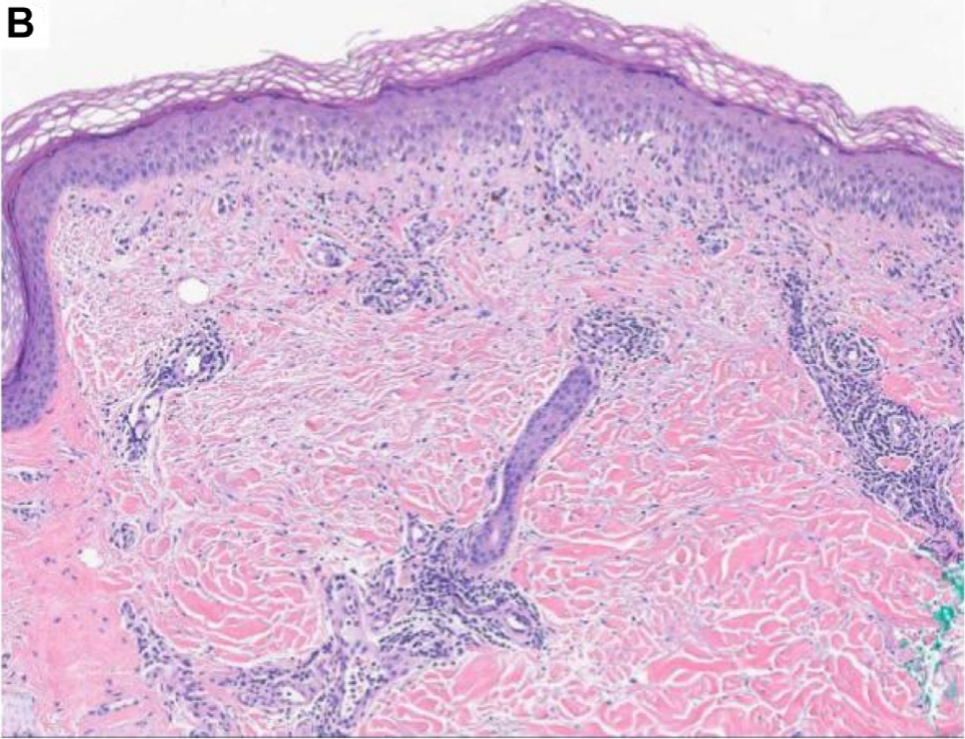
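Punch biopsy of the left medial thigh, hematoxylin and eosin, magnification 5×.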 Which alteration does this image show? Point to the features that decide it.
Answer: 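Clusters of small dark round nuclei gather around small vessels in the dermis. The clusters follow the vessels and an adnexal structure as cuffs.
Hence: perivascular lymphocytic infiltrate.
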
